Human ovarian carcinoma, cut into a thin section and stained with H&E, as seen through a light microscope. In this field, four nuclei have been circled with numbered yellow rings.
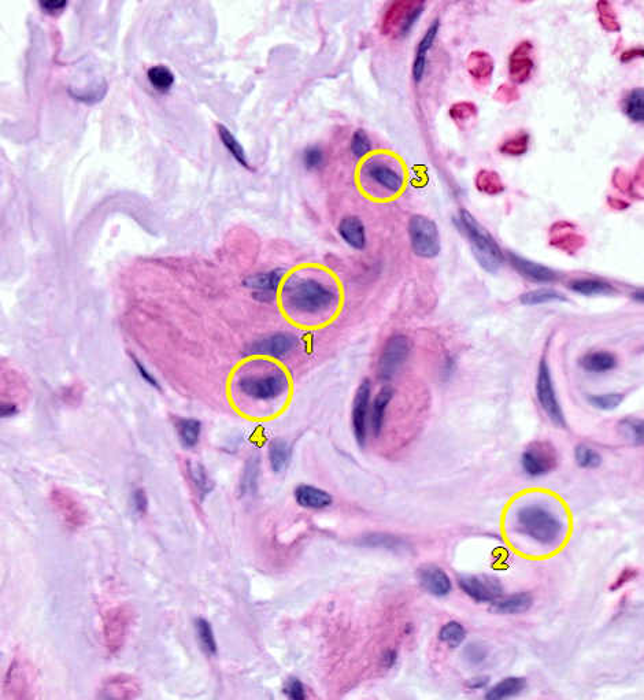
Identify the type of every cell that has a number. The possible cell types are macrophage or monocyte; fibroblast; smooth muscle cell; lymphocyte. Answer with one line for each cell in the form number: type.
1: smooth muscle cell
2: fibroblast
3: smooth muscle cell
4: smooth muscle cell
